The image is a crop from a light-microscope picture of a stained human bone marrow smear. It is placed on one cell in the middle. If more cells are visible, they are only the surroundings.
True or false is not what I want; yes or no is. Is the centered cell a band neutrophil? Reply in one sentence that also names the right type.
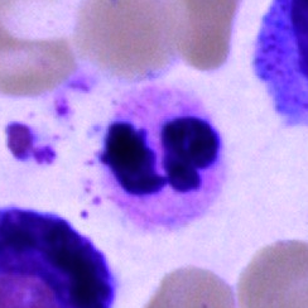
No, it isn't a band neutrophil; what sits in the middle is a segmented neutrophil.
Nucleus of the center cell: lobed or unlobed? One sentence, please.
We find a nucleus divided into at least two lobes.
